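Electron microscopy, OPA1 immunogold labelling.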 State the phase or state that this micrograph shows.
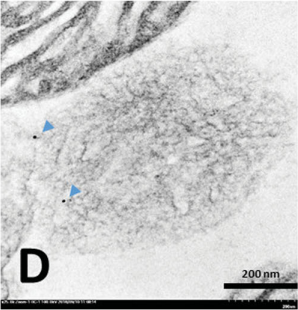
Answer: ghost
